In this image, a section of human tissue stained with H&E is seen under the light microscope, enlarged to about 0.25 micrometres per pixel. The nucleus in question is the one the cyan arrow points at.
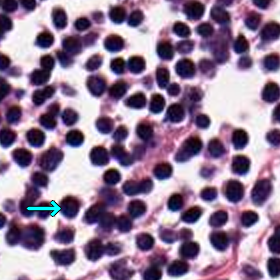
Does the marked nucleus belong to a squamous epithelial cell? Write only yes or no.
no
